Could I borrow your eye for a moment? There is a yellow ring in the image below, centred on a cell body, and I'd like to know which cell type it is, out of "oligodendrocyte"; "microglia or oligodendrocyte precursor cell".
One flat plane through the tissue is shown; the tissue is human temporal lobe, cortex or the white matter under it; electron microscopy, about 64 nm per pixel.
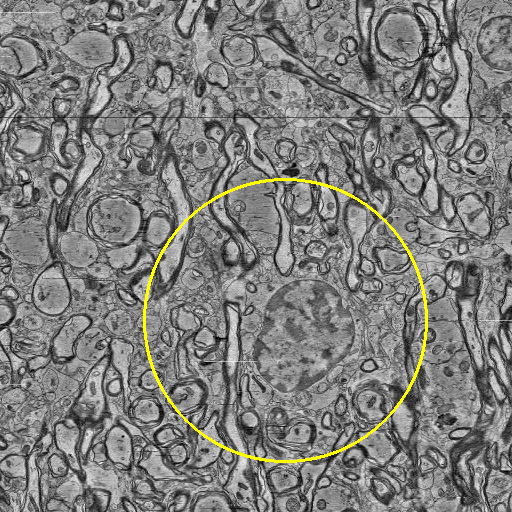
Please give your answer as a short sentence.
The cell body at the centre is that of a microglial cell or oligodendrocyte precursor cell.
